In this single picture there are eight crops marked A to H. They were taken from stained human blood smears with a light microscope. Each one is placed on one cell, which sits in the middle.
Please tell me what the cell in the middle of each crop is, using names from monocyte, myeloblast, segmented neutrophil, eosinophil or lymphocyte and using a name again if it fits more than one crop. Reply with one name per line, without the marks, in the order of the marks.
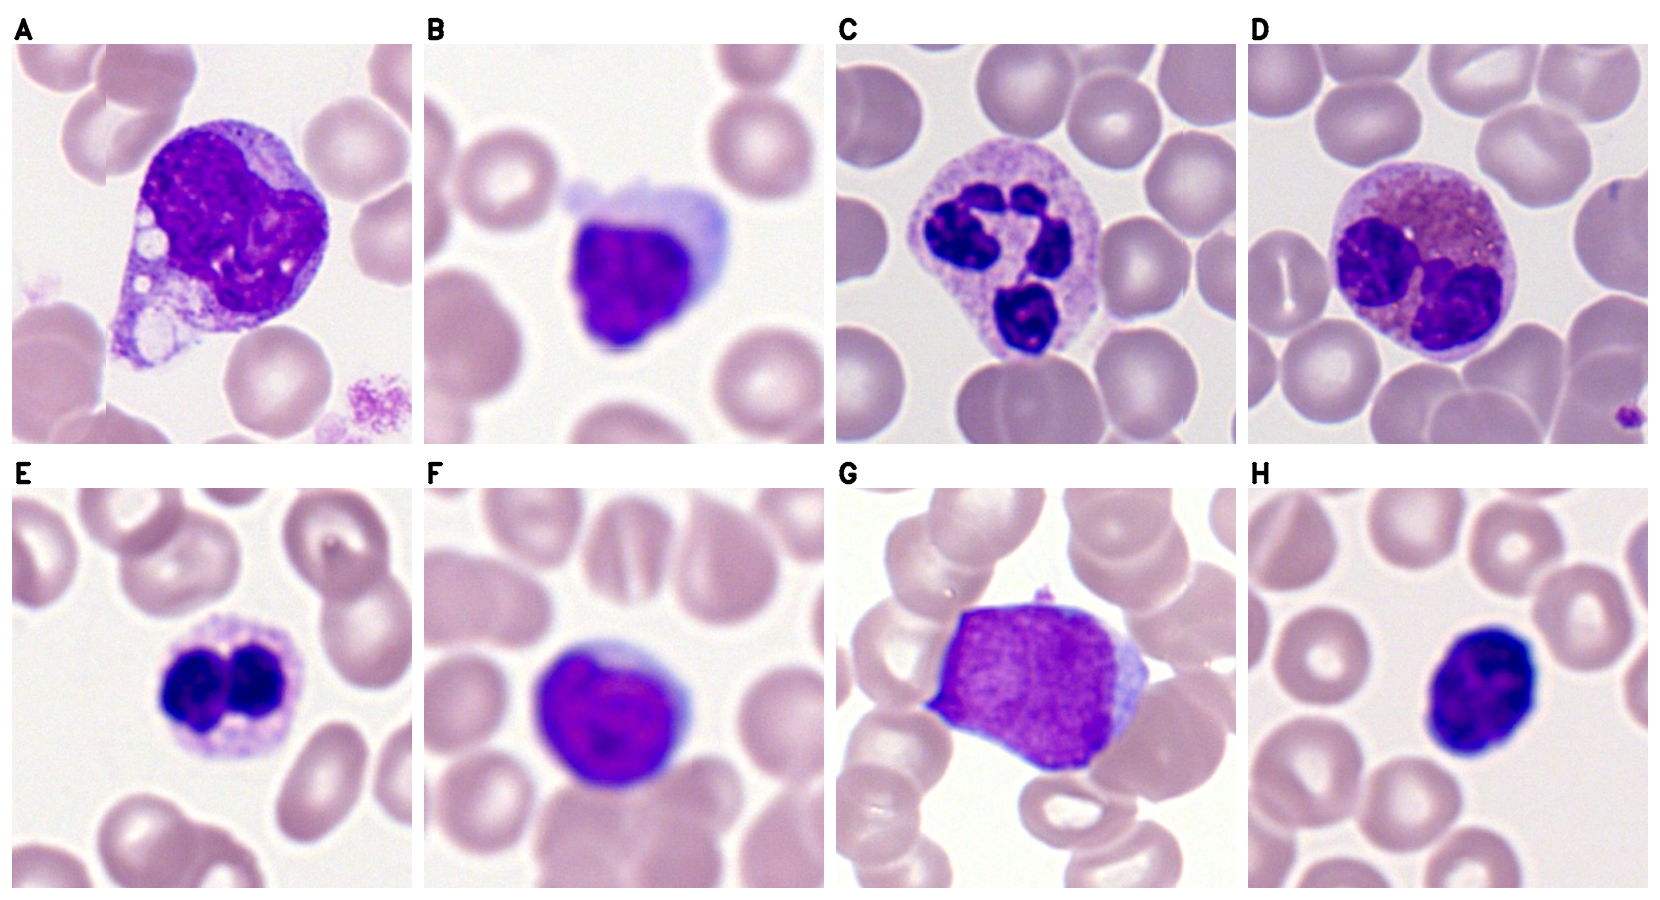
monocyte
lymphocyte
segmented neutrophil
eosinophil
segmented neutrophil
lymphocyte
myeloblast
lymphocyte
